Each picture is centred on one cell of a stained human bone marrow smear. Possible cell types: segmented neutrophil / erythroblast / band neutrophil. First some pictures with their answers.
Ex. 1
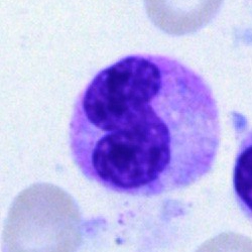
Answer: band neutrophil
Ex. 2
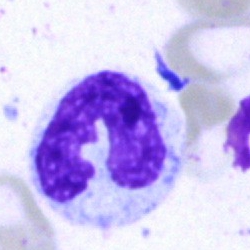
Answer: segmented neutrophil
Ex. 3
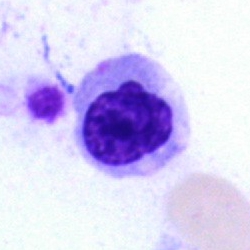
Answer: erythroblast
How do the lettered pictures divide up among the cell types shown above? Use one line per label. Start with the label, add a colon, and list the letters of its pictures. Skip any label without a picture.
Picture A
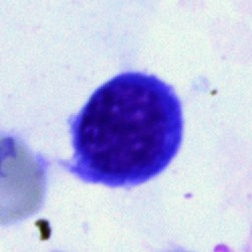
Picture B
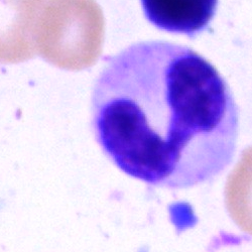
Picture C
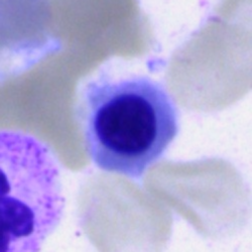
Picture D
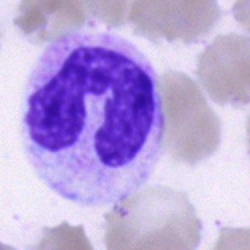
segmented neutrophil: B
erythroblast: A, C
band neutrophil: D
